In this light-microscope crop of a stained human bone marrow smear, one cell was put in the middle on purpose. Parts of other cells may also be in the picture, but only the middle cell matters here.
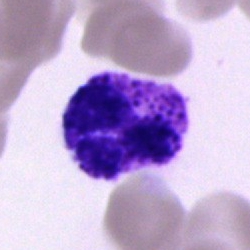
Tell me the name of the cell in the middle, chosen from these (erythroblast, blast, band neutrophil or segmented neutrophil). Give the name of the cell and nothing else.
segmented neutrophil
